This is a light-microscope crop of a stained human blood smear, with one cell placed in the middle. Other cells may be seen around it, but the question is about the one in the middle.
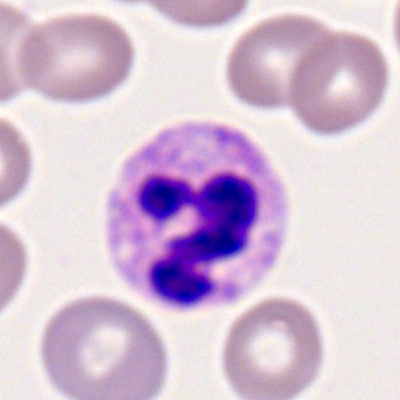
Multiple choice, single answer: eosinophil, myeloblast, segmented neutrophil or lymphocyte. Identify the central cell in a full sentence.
In the centre of this crop there is a segmented neutrophil.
